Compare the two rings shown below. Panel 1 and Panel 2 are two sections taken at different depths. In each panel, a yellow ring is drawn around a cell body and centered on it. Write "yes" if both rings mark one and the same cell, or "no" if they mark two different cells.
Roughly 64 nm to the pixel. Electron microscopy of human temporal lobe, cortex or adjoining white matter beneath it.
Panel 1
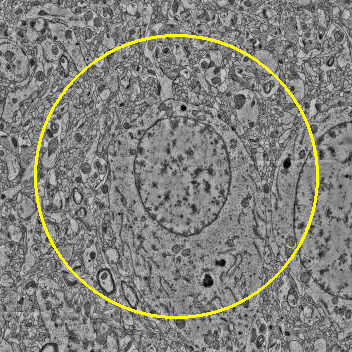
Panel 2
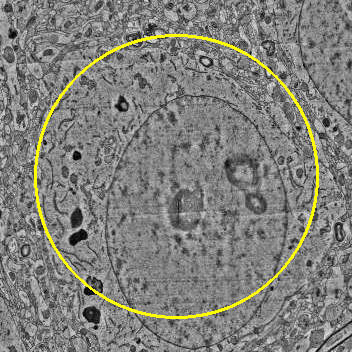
no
